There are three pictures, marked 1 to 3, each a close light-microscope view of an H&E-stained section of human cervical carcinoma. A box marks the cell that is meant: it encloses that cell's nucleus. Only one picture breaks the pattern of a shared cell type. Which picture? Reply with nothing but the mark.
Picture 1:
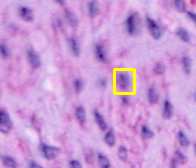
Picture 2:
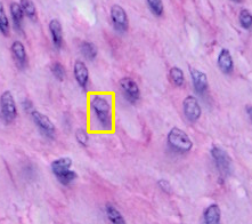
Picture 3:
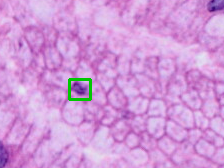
3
